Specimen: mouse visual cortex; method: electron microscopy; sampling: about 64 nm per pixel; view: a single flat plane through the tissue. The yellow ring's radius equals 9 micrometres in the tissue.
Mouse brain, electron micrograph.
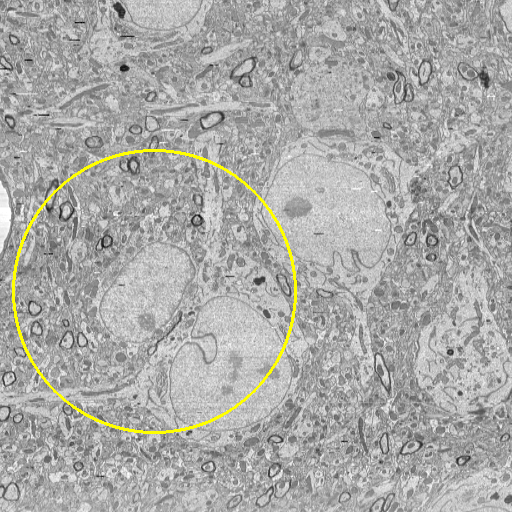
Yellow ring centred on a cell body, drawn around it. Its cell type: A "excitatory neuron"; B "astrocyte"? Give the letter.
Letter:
B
